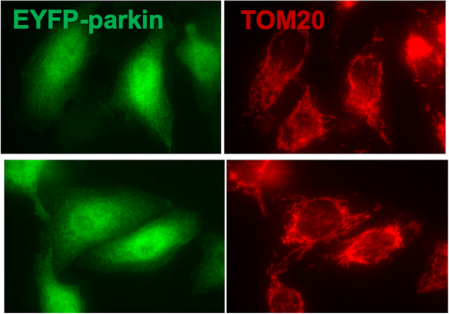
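These are cultured cells imaged twice, once for a green label and once for a red one. In the red images the mitochondria form a web of long, thin threads spreading through the cytoplasm out toward the cell edges, while the round nucleus stays dark.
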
